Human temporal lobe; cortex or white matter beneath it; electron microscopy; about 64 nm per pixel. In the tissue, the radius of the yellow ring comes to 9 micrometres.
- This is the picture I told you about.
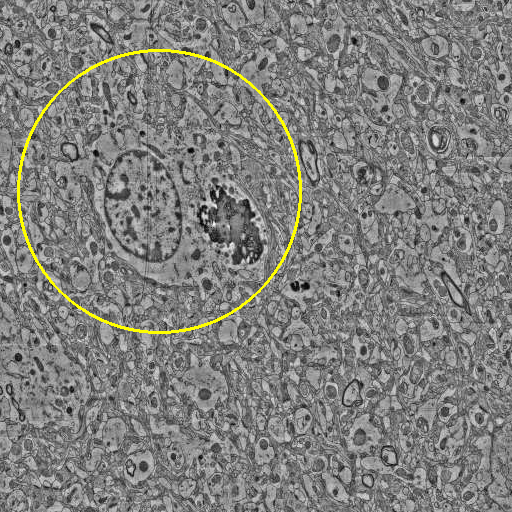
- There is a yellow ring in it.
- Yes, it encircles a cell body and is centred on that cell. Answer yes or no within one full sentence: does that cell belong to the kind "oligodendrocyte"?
No, the cell on which the yellow ring is centred belongs to a different kind.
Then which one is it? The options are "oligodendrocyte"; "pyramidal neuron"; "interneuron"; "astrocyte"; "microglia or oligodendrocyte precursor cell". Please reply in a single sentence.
The answer is that the ringed cell is an astrocyte.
